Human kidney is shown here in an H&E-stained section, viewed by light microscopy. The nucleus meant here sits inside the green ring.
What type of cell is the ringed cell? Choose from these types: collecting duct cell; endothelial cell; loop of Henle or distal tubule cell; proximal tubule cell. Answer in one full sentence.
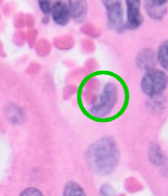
Within this tissue, the ringed cell is an endothelial cell.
